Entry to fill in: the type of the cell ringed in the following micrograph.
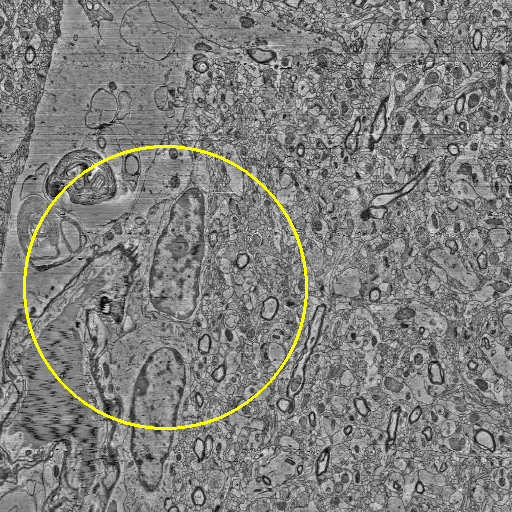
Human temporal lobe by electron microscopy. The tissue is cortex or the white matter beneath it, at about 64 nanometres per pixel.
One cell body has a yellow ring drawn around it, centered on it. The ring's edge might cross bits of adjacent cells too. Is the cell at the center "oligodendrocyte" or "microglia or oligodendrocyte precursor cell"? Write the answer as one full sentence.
This entry names a microglial cell or oligodendrocyte precursor cell as the cell whose body lies at the ring's center.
